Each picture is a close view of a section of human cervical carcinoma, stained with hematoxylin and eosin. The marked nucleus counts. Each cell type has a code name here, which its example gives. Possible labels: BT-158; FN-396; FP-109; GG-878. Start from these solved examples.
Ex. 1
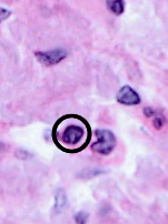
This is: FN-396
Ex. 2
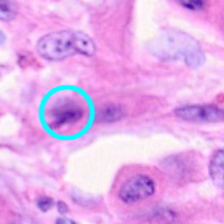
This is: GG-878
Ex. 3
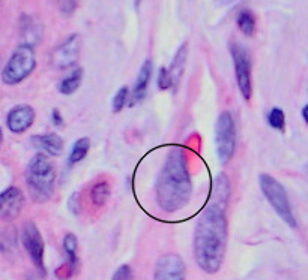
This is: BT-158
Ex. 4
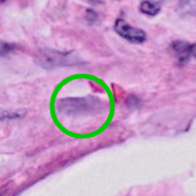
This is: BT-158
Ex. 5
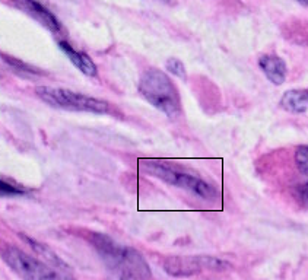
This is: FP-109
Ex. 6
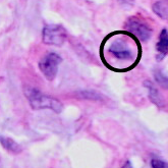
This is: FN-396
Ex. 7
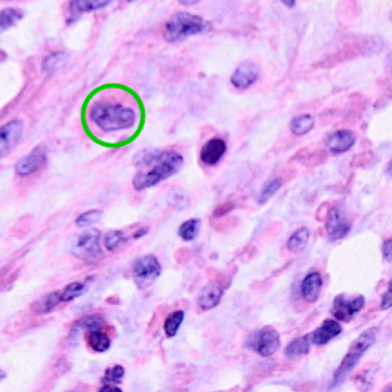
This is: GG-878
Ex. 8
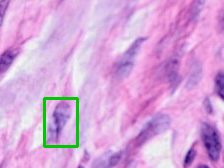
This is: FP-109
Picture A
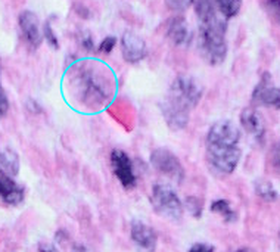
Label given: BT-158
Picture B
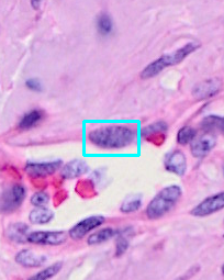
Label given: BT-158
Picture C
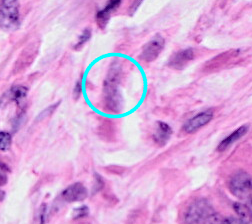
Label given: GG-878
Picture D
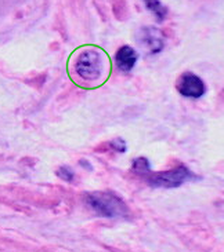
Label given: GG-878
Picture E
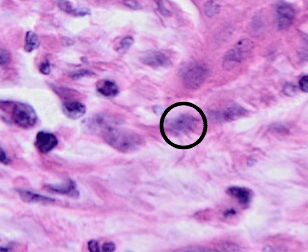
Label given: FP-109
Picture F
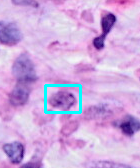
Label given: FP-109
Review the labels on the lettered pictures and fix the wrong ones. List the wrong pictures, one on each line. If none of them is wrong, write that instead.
C should be FP-109, not GG-878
